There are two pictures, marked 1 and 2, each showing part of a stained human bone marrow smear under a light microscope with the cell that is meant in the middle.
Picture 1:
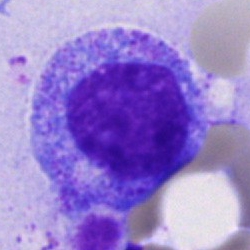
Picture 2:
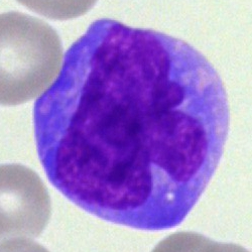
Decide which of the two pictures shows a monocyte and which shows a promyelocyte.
1: promyelocyte
2: monocyte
